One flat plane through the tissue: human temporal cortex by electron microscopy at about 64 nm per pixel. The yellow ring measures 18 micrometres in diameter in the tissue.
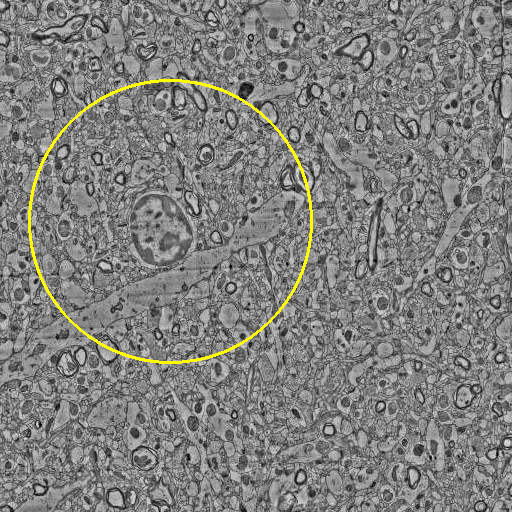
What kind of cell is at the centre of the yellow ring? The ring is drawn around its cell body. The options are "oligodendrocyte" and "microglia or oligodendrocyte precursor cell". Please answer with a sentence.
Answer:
The yellow ring marks the cell body of a microglial cell or oligodendrocyte precursor cell.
